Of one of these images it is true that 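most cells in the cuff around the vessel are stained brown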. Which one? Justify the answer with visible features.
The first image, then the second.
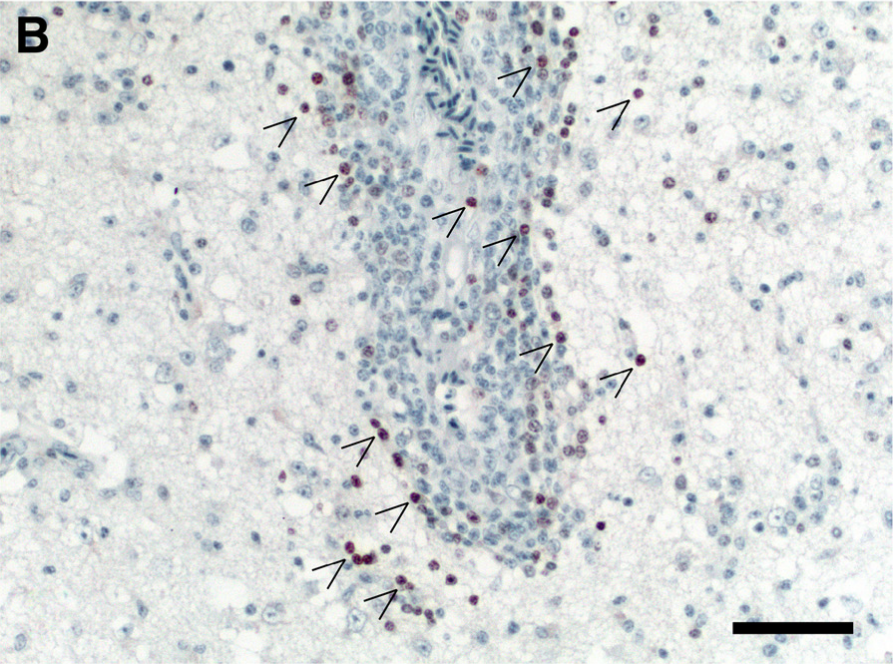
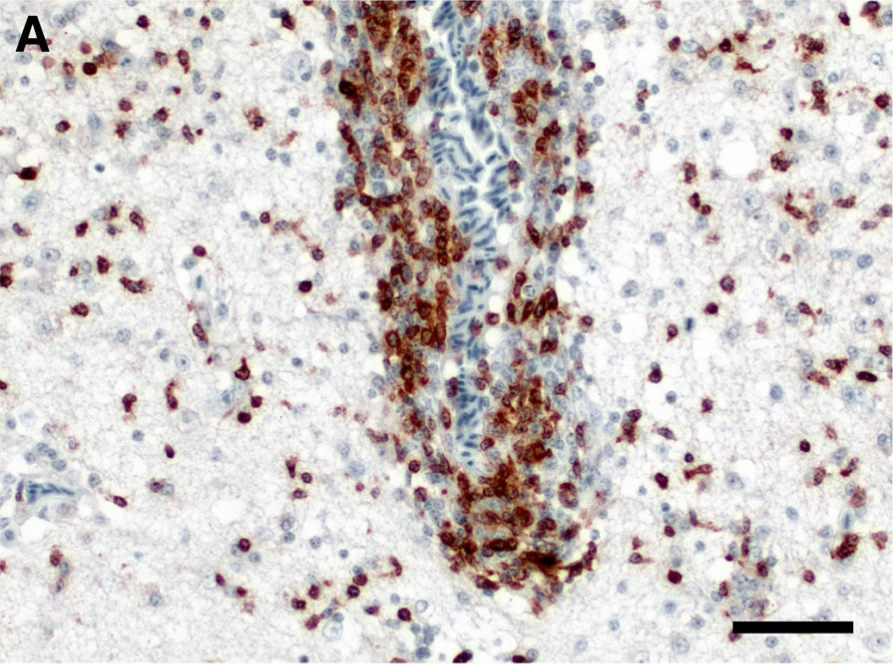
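First image: only scattered cells in the cuff have brown nuclei, most are blue. Second image: the cuff is densely filled with brown-stained cells, and many brown cells lie in the surrounding tissue.
The second image.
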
